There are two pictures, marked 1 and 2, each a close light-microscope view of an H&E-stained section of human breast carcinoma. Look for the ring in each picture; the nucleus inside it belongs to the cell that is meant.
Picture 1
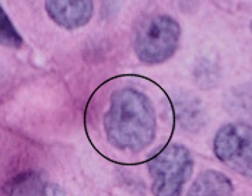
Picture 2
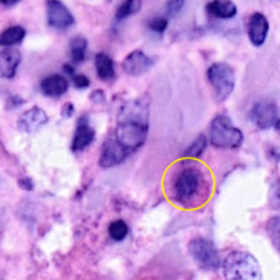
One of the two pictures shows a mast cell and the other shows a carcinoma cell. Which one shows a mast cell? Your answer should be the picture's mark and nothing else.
2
